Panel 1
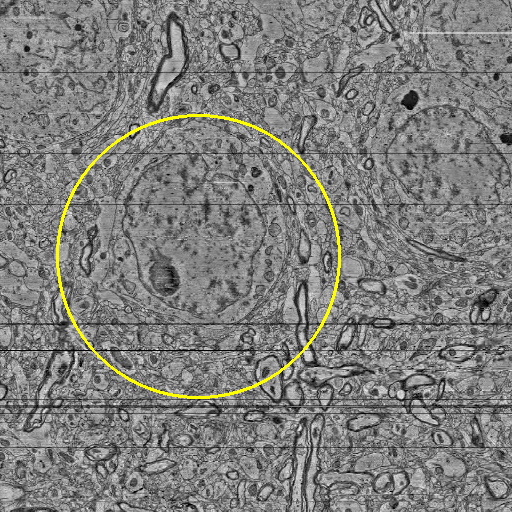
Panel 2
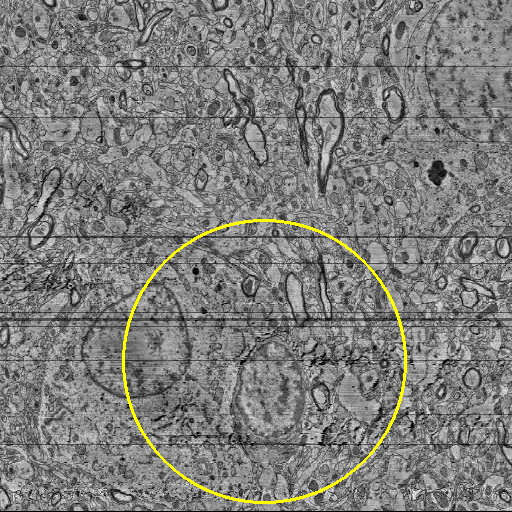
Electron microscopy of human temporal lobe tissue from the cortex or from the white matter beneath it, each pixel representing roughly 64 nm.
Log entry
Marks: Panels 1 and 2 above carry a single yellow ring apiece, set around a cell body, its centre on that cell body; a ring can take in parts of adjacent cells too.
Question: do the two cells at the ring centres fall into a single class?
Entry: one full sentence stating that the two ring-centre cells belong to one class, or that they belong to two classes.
The two ring-centre cells in Panels 1 and 2 belong to two classes.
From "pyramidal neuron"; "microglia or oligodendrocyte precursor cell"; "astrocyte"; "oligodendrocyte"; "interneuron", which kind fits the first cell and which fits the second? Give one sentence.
The cell marked in the first picture is a pyramidal neuron, and the one marked in the second is an oligodendrocyte.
